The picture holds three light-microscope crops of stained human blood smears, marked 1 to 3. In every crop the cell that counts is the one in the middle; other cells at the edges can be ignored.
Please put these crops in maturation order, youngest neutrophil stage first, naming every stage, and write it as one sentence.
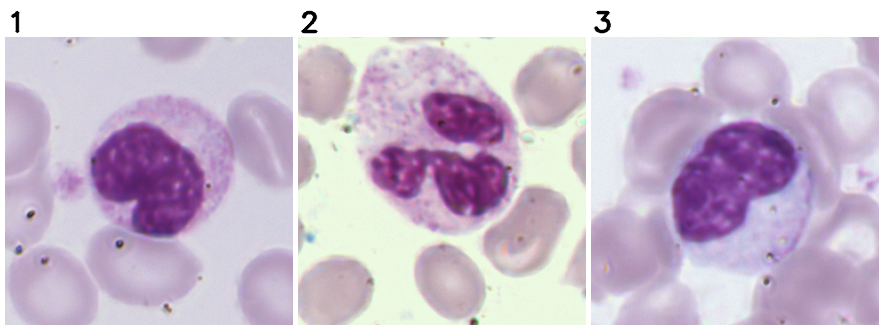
Ranked from least to most mature, the sequence is crop 3 (a metamyelocyte), crop 1 (a band neutrophil) and crop 2 (a segmented neutrophil).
